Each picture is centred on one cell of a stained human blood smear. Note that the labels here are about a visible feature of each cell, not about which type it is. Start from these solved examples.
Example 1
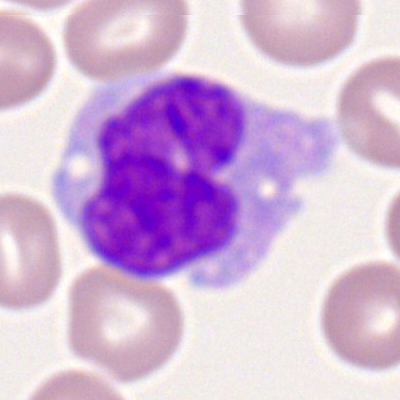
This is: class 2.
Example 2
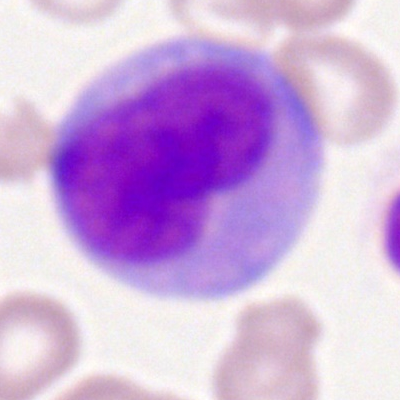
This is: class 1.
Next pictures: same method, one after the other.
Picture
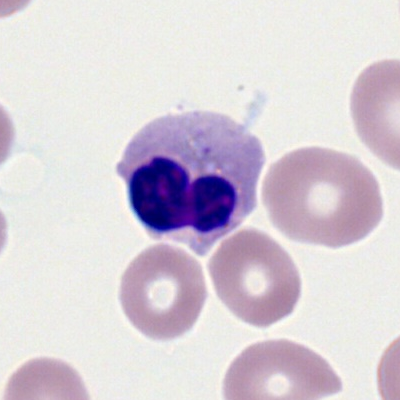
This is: class 2.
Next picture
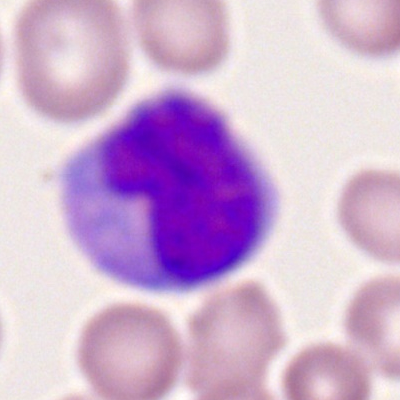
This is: class 1.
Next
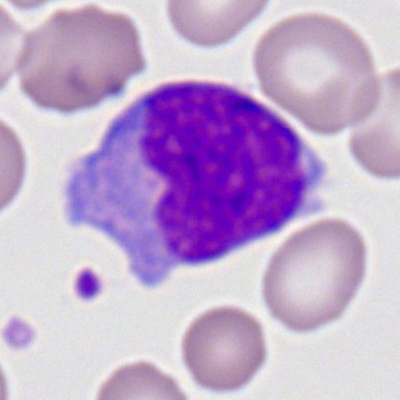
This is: class 2.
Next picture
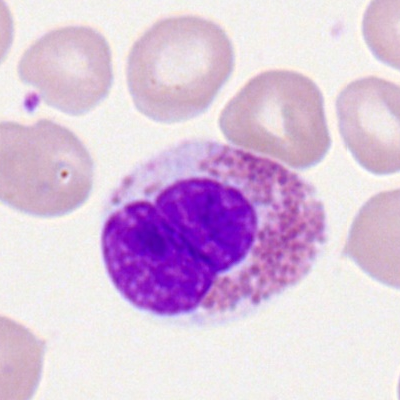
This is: class 1.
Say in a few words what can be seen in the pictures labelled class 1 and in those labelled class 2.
In class 1: smooth outline. In class 2: ragged outline or projections.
